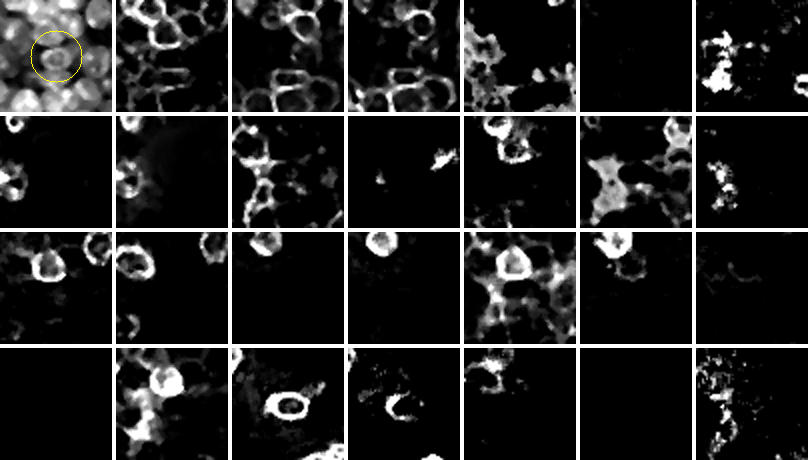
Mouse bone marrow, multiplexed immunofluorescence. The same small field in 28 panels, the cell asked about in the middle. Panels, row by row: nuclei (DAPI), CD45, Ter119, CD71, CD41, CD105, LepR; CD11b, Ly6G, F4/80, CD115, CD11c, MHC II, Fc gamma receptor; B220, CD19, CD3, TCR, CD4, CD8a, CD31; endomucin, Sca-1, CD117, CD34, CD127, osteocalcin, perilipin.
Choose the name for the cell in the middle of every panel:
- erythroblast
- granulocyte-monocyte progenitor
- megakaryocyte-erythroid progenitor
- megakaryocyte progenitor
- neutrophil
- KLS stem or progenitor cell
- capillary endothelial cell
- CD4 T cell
KLS stem or progenitor cell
